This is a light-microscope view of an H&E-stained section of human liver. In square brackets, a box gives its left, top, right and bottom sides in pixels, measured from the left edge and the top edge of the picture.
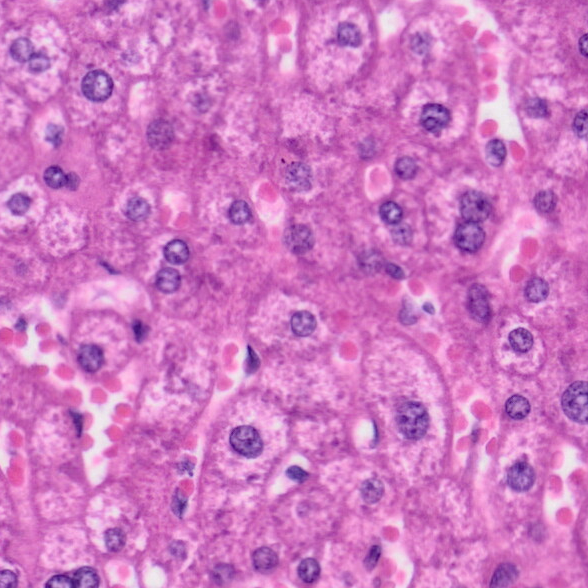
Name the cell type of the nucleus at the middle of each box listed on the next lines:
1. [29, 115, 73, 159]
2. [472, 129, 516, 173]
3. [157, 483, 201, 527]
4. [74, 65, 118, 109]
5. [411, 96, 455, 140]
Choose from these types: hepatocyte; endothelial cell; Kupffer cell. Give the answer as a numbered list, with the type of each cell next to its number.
1. endothelial cell
2. Kupffer cell
3. endothelial cell
4. hepatocyte
5. hepatocyte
